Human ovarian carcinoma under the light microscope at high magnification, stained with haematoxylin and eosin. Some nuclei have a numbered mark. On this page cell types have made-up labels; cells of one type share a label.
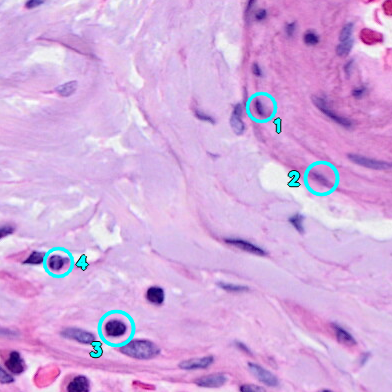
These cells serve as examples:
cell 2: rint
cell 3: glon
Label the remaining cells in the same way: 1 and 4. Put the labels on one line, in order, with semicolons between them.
rint; glon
